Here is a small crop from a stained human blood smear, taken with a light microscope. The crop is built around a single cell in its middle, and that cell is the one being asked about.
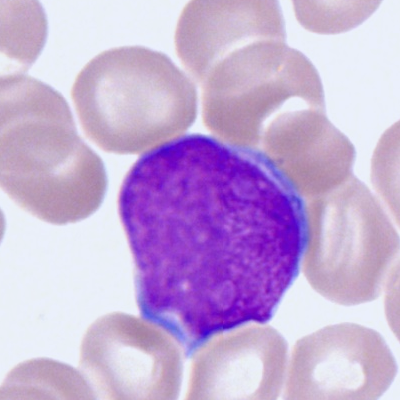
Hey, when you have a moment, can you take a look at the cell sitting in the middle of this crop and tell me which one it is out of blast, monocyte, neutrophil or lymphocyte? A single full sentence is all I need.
On this slide crop, the central cell is a blast.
